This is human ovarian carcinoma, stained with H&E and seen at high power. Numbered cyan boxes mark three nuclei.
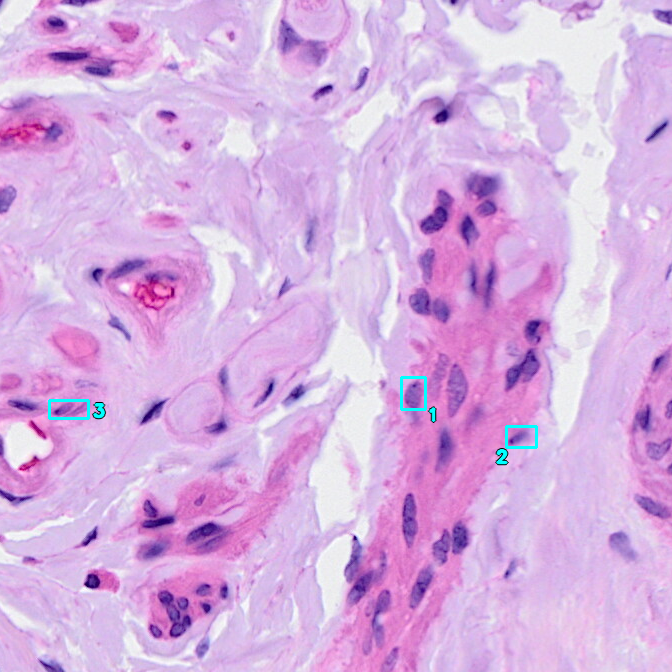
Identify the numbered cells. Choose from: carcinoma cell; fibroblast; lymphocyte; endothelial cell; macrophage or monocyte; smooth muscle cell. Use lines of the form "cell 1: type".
cell 1: smooth muscle cell
cell 2: smooth muscle cell
cell 3: endothelial cell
